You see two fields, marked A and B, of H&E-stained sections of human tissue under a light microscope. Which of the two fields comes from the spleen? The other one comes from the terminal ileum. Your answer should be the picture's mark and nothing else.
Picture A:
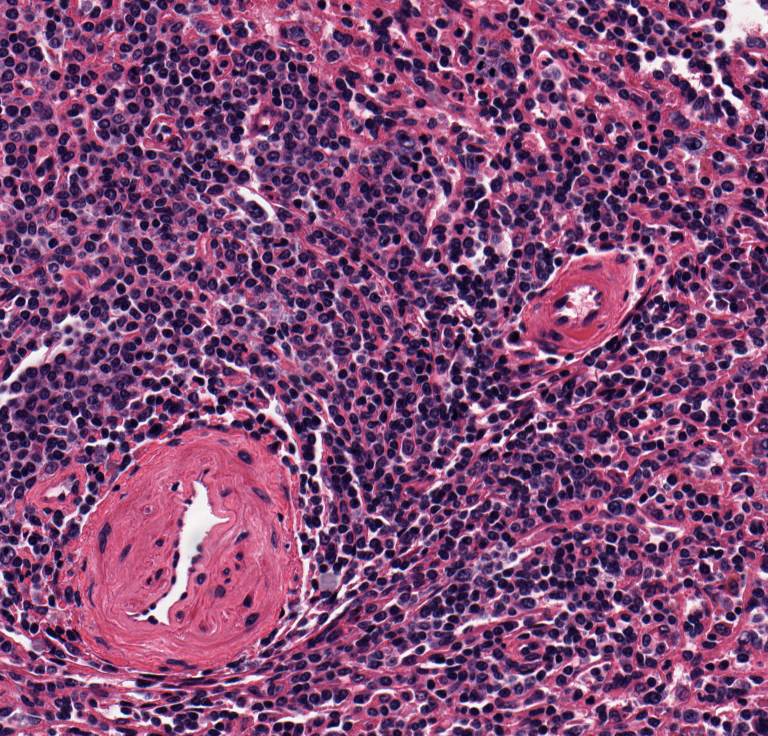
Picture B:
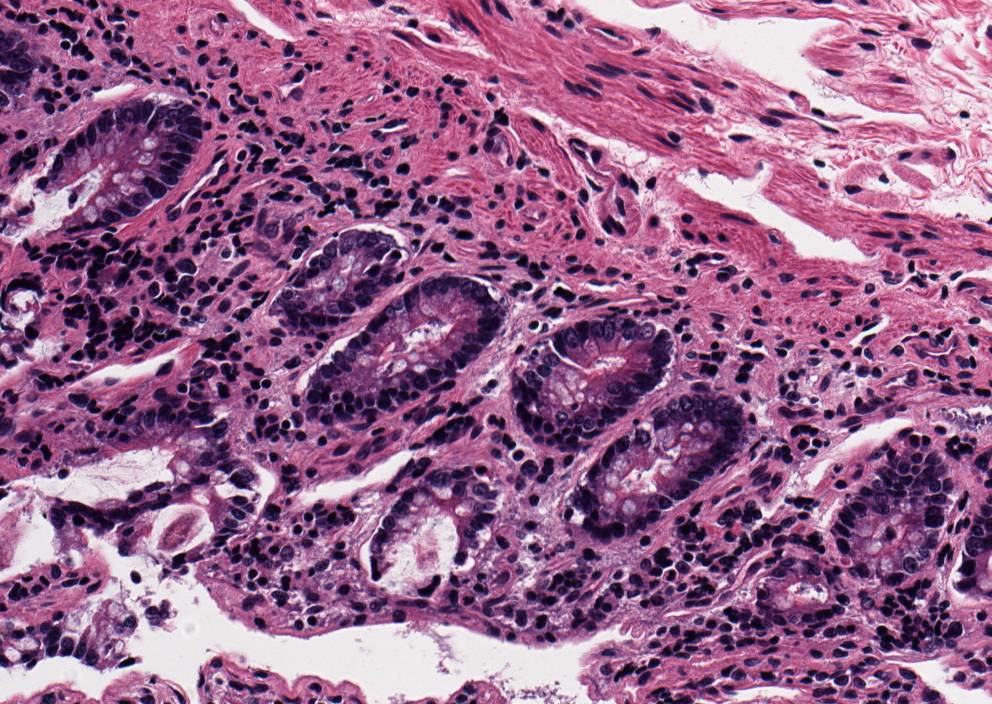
A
